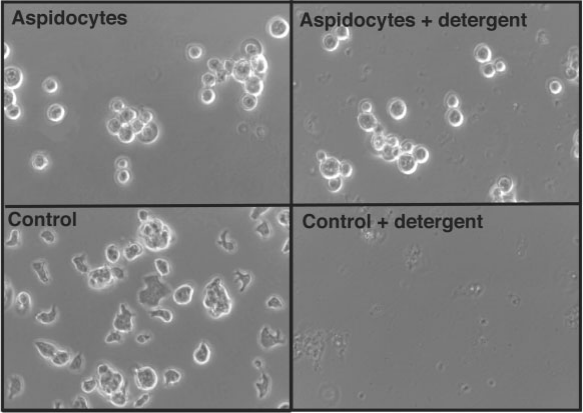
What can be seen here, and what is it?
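Phase-contrast views of amoeboid cells in four quadrants. In both upper quadrants the cells are round, smooth-edged and bright, with a thick refractile rim, lying singly or in small clusters. In the lower left quadrant the cells are irregular and flattened, with angular outlines, extensions and a granular interior, many of them in small groups. In the lower right quadrant no intact cells remain; only faint, scattered granular debris and pale remnants lie on the background.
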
